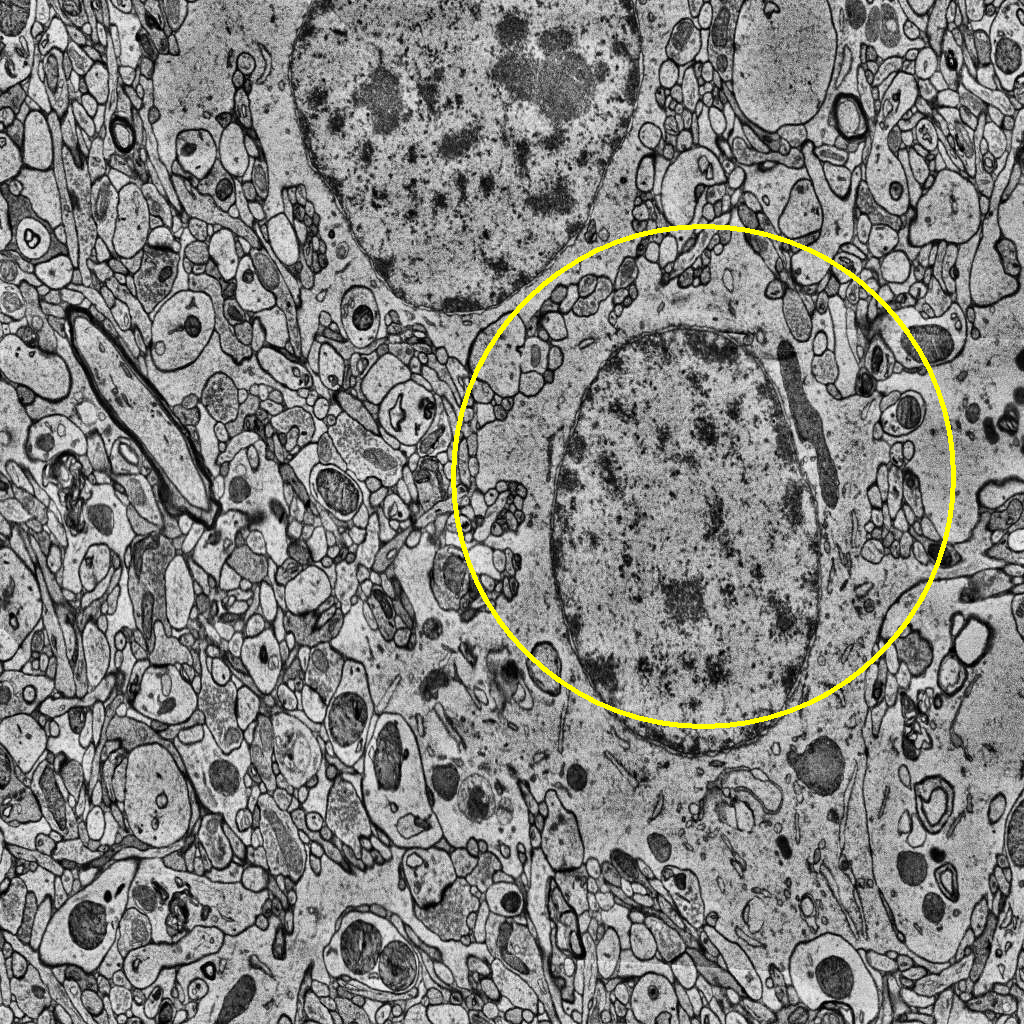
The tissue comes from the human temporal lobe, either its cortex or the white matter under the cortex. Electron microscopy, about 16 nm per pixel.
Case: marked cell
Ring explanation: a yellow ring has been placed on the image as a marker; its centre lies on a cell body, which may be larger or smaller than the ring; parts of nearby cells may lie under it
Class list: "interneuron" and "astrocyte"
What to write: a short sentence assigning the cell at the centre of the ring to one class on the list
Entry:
The cell at the ring's centre is an astrocyte.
